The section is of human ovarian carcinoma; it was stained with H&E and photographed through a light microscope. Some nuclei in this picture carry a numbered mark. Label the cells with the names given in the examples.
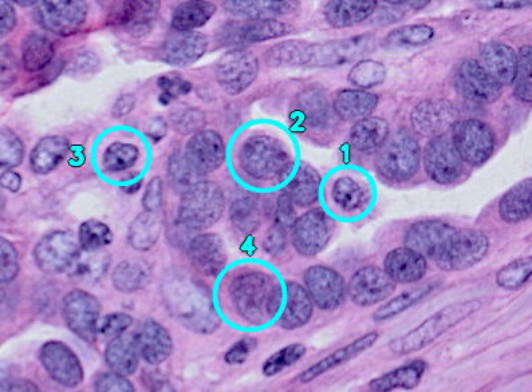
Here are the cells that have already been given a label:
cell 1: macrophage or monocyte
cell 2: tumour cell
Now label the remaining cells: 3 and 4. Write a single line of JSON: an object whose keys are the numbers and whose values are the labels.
{"3": "macrophage or monocyte", "4": "tumour cell"}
